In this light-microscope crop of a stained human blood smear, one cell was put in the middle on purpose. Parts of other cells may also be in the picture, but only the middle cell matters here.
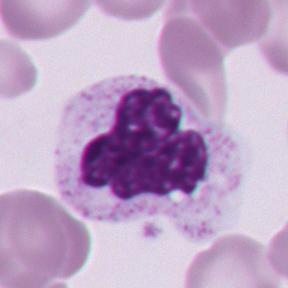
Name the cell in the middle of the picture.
segmented neutrophil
